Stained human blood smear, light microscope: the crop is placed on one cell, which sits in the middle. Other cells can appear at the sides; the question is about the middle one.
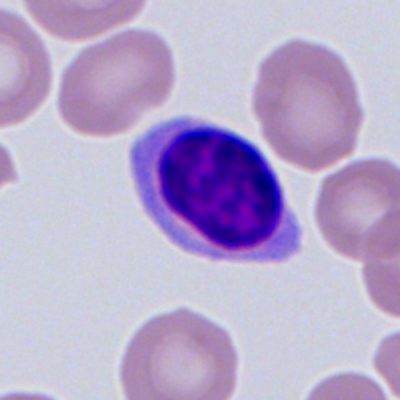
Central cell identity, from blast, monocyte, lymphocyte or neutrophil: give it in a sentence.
Classified as a lymphocyte is the cell in the middle of this crop.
